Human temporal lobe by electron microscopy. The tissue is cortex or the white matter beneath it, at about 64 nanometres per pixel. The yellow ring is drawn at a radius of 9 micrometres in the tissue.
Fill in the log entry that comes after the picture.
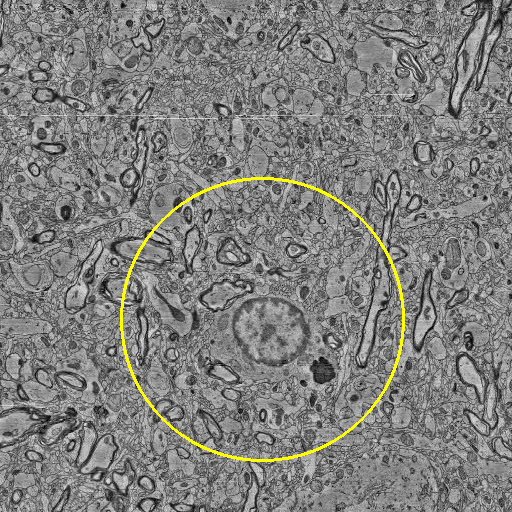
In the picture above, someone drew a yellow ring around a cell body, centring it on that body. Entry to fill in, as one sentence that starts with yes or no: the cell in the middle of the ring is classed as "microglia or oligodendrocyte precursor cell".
No, the cell in the ring's centre in this image is of a different kind.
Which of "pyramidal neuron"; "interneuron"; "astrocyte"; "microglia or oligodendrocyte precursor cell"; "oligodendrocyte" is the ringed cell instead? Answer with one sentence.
So the cell at the centre is an oligodendrocyte.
